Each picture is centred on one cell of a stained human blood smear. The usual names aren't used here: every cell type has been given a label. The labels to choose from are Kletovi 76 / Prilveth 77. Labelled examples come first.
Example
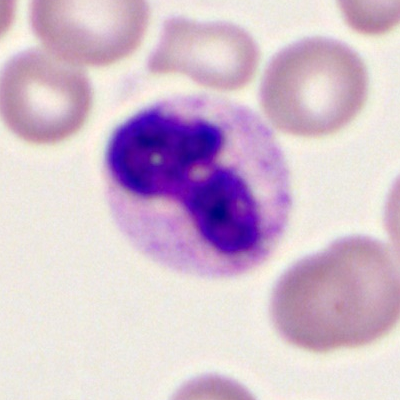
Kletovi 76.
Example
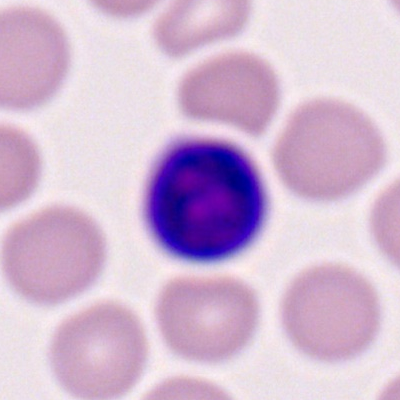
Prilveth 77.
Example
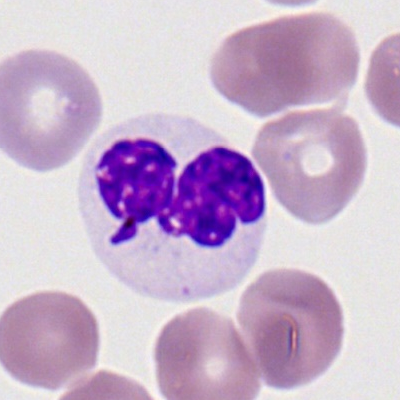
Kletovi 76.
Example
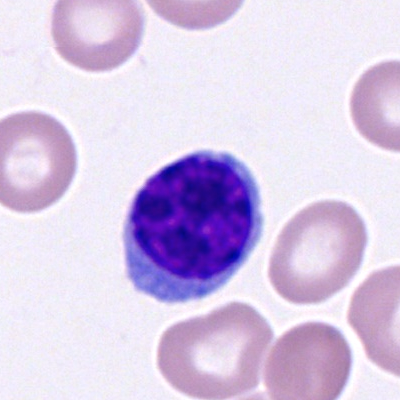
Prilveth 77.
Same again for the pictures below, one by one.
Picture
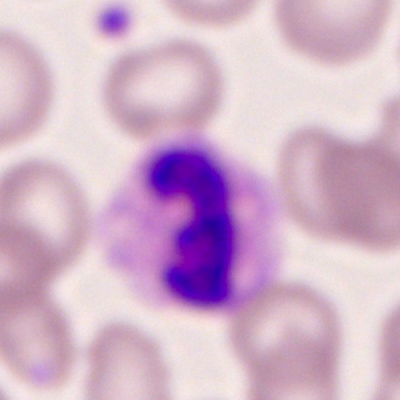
Kletovi 76.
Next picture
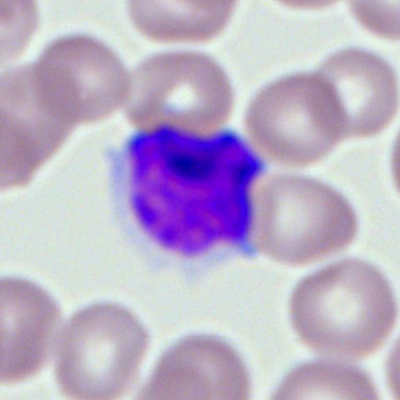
Prilveth 77.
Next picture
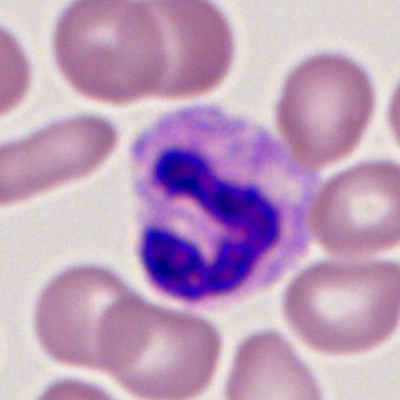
Kletovi 76.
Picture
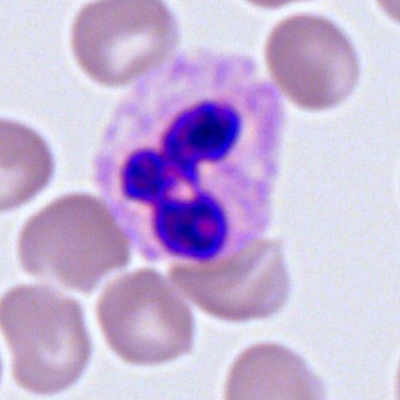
Kletovi 76.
